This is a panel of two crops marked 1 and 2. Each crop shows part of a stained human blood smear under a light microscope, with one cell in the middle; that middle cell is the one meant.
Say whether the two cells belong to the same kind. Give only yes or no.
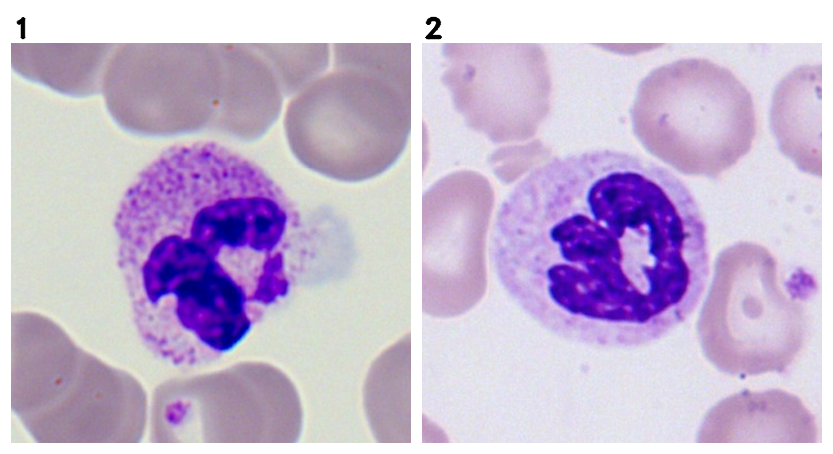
yes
